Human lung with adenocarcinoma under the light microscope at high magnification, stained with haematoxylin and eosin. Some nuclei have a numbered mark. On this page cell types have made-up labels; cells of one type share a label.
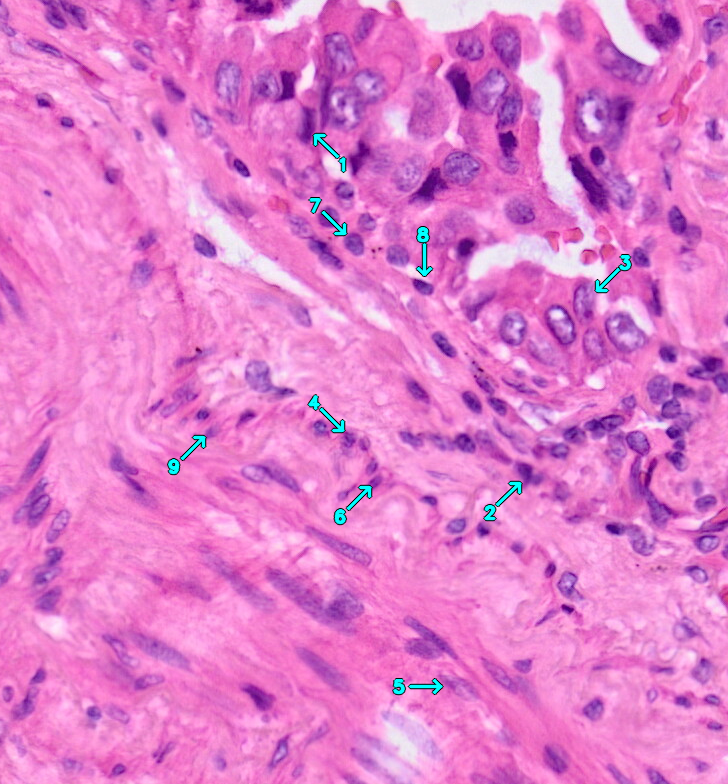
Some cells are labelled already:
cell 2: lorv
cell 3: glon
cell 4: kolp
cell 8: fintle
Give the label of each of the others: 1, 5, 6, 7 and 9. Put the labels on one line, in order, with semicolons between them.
glon; kolp; kolp; fintle; kolp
